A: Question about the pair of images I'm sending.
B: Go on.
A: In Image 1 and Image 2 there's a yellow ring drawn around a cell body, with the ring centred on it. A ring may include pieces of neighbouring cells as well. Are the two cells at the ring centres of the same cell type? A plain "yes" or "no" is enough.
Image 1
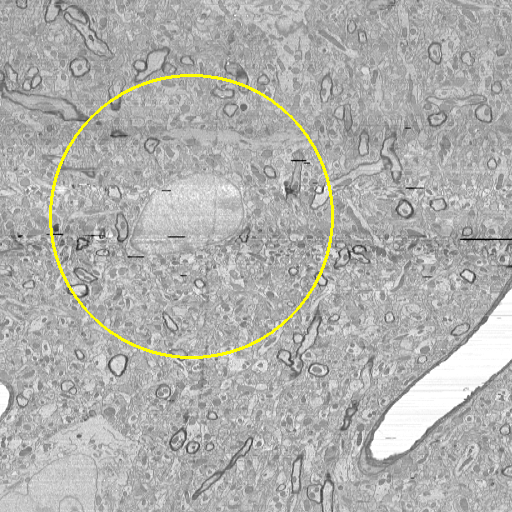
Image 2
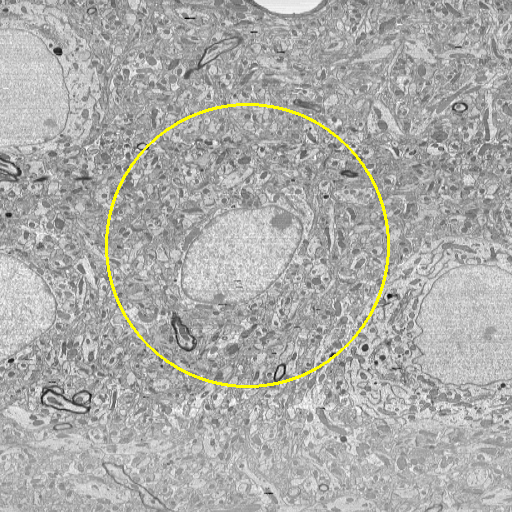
yes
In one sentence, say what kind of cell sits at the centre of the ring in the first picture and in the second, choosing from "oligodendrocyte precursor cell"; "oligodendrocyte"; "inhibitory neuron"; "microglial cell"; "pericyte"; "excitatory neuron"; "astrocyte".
Each of the ringed cells, first and second, is an astrocyte.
